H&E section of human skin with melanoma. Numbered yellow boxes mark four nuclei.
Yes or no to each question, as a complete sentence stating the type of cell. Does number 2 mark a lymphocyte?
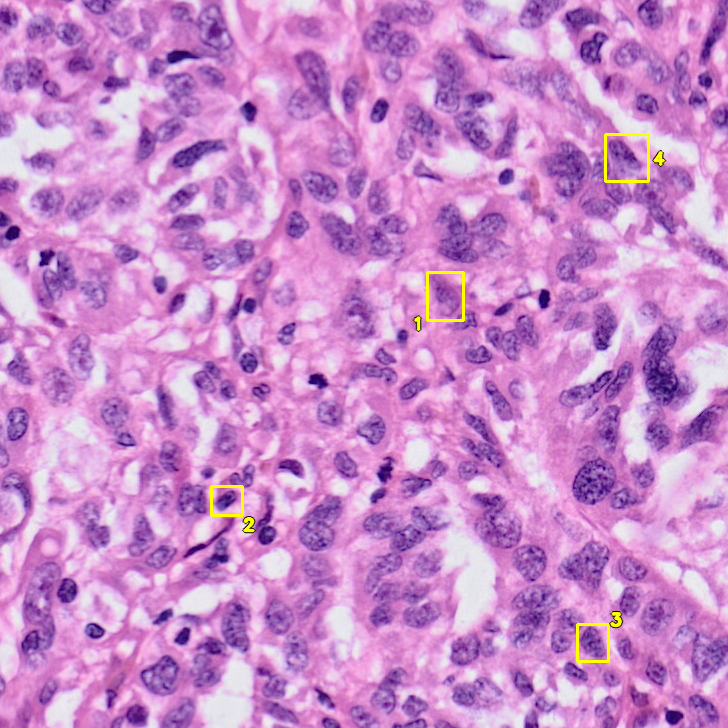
Yes, correct, the cell with the number 2 is a lymphocyte.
